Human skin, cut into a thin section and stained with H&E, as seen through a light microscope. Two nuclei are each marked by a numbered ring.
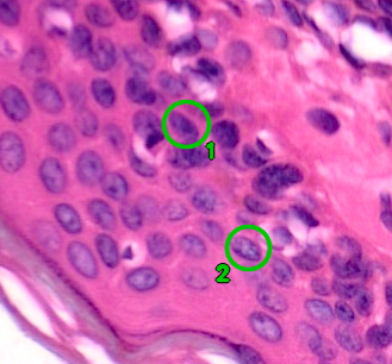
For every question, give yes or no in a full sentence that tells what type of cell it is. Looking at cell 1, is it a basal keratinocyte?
Yes, so the cell at label 1 is a basal keratinocyte.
